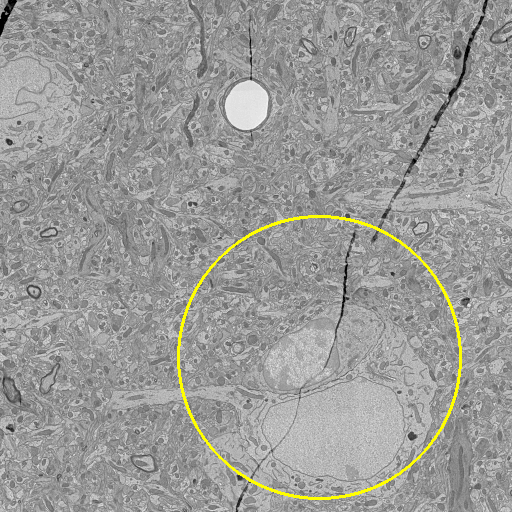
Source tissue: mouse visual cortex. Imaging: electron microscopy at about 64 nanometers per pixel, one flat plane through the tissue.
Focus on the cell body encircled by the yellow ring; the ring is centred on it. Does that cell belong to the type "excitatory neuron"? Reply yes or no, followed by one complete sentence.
No, the cell lying at the centre of the ring in the picture is another type.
